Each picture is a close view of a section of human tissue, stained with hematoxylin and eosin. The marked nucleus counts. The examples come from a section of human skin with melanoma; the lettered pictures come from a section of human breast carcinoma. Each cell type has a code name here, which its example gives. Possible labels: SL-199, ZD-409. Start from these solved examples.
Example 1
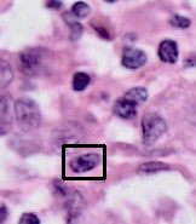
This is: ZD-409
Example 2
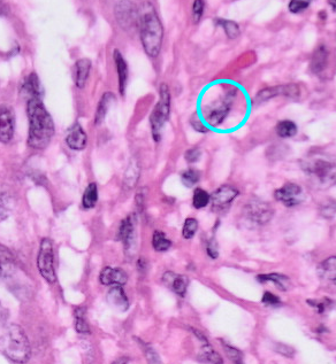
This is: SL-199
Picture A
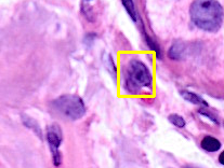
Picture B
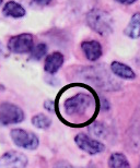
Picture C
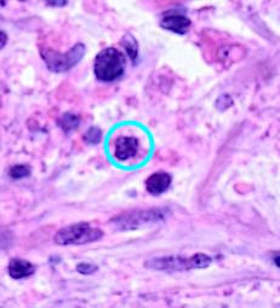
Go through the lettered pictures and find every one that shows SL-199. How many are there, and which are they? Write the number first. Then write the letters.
1: A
